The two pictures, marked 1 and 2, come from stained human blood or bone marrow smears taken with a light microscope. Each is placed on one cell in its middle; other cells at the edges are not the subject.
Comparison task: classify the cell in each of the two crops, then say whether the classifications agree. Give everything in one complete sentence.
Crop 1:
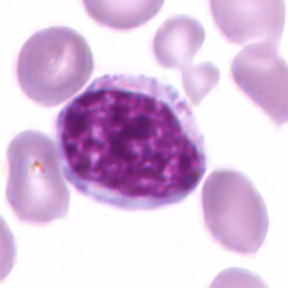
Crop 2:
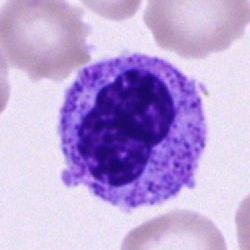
Yes, in the middle of both crops, metamyelocytes are shown.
